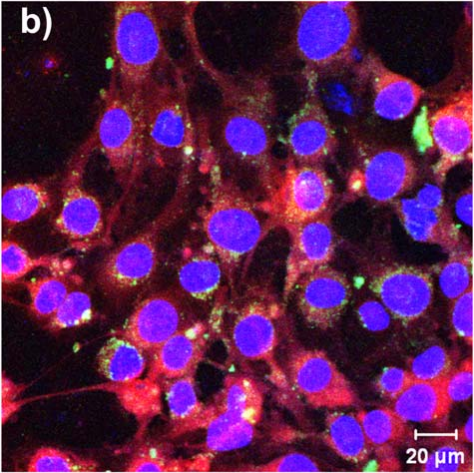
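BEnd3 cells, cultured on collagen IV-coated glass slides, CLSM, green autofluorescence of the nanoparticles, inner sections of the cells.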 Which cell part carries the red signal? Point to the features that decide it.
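Red fills the space around each blue oval body. Red extends into thin processes between cells.
Hence: cytosol.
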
